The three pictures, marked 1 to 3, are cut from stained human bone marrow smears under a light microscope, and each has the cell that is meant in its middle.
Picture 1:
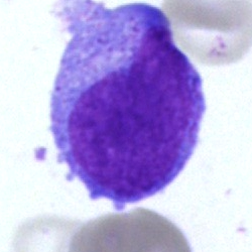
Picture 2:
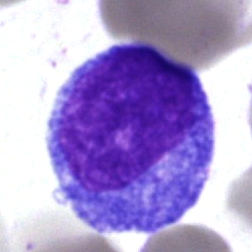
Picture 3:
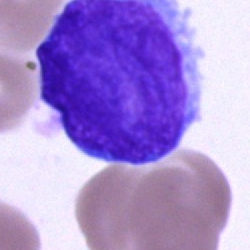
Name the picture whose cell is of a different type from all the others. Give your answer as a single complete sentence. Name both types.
The others show blasts, but picture 2 shows a promyelocyte.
